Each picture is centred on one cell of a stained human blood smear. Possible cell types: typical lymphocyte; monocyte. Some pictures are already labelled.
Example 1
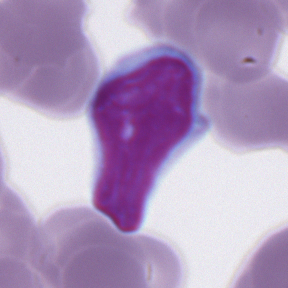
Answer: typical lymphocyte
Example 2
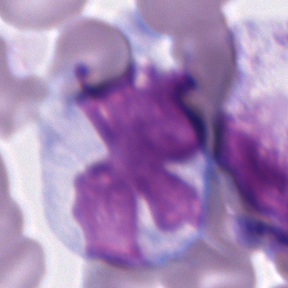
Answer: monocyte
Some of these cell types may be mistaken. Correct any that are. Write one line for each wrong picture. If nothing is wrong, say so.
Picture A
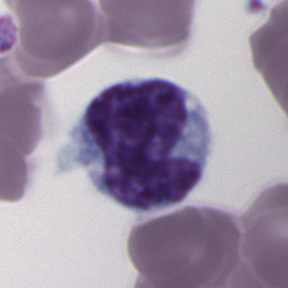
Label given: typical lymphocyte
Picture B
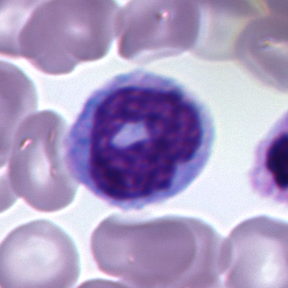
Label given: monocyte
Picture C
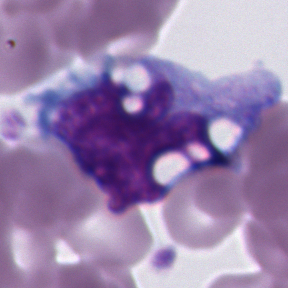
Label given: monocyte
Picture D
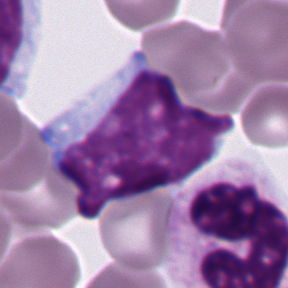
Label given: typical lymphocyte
A: change typical lymphocyte to monocyte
